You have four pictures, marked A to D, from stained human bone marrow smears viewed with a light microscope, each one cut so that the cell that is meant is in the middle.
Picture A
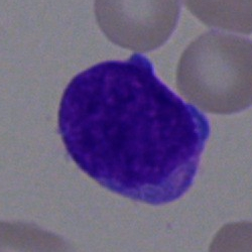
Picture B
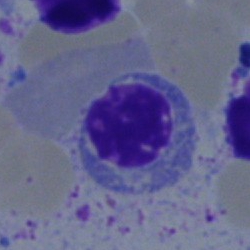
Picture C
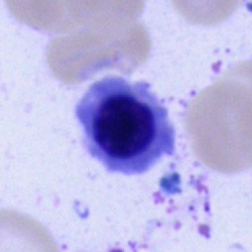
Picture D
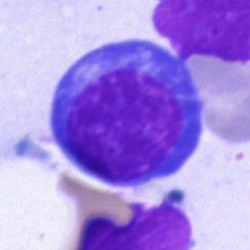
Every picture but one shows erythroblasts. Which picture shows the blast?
A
